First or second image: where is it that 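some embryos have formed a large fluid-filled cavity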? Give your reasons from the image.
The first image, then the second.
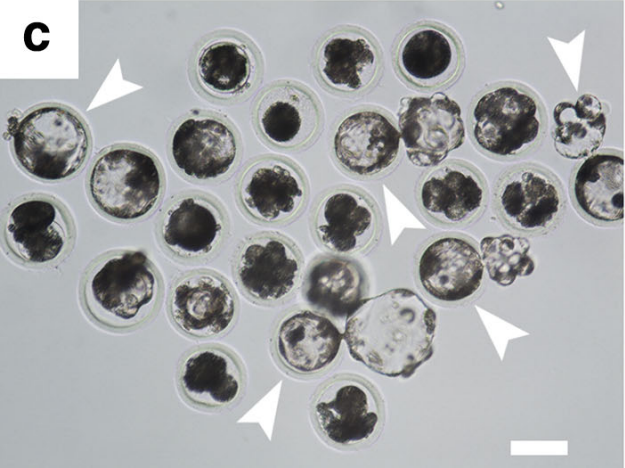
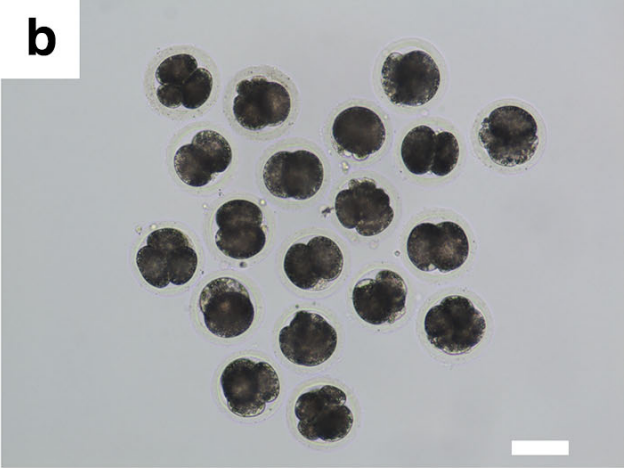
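First image: several embryos contain a large clear cavity bounded by a thin cell layer. Second image: embryos consist of two to four dark blastomeres with no cavity. On this evidence: the first image.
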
